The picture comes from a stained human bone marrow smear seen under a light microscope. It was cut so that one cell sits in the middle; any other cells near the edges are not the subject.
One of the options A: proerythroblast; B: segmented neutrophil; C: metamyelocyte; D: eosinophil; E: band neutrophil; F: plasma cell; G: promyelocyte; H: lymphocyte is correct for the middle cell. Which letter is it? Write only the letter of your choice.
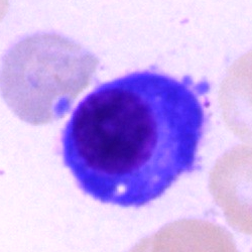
F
